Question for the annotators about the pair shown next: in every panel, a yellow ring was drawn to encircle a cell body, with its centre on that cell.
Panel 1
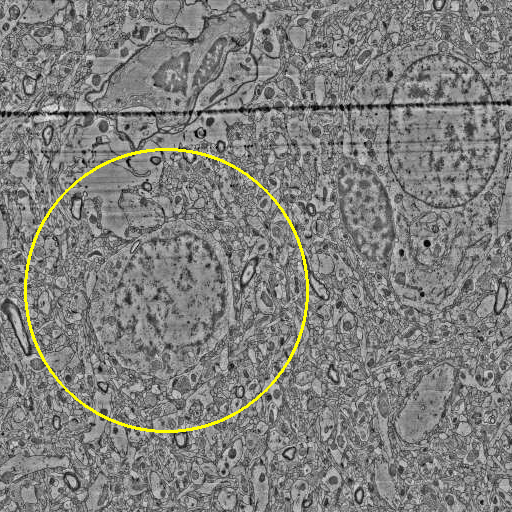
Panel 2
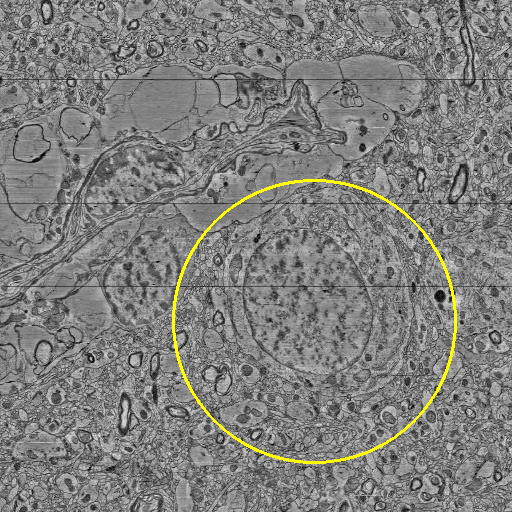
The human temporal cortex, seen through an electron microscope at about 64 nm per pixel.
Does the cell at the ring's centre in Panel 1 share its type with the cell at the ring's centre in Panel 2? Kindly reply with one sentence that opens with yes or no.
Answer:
Yes, in Panels 1 and 2 the cells at the ring centres belong to a single type.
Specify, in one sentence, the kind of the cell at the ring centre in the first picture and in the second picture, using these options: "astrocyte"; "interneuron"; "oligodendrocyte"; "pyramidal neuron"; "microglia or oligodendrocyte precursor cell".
The cell in the first picture is an interneuron, and so is the one in the second.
